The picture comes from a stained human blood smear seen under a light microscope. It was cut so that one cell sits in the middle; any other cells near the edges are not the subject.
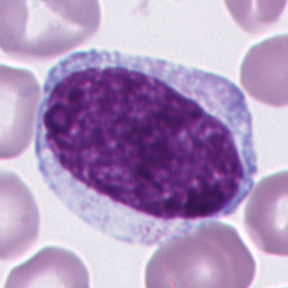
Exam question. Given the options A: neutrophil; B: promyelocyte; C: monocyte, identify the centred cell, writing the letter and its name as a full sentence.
The cell in the center of this crop is a promyelocyte, so option B is the one to pick.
